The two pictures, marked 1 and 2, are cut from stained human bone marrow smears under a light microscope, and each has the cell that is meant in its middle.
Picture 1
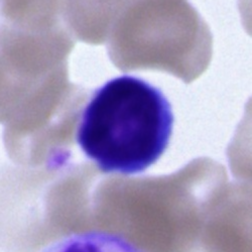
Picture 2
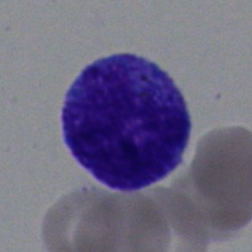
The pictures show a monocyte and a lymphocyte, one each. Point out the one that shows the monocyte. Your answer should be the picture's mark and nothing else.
2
